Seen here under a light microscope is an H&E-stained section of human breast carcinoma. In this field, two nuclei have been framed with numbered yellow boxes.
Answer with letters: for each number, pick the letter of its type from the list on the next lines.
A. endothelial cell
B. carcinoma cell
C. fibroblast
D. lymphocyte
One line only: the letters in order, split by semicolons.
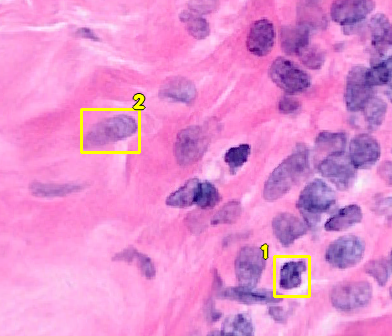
D; C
